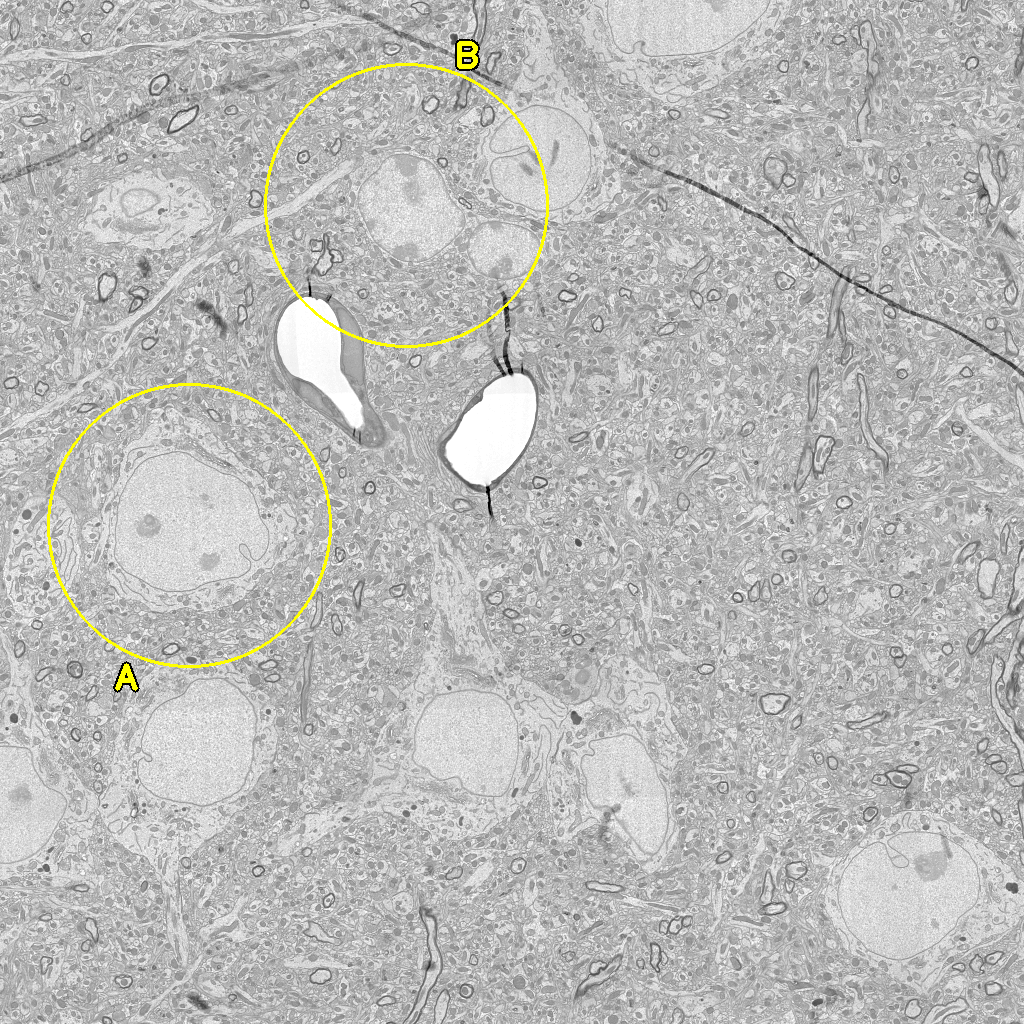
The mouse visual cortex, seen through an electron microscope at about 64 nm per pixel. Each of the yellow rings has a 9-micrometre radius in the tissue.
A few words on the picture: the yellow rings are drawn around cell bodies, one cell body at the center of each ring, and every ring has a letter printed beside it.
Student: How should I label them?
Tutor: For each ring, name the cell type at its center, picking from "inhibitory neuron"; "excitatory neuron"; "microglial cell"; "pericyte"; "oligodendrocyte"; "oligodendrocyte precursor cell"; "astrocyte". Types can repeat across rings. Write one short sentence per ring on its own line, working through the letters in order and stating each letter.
In ring A, the central cell is an excitatory neuron.
In ring B, the central cell is an astrocyte.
